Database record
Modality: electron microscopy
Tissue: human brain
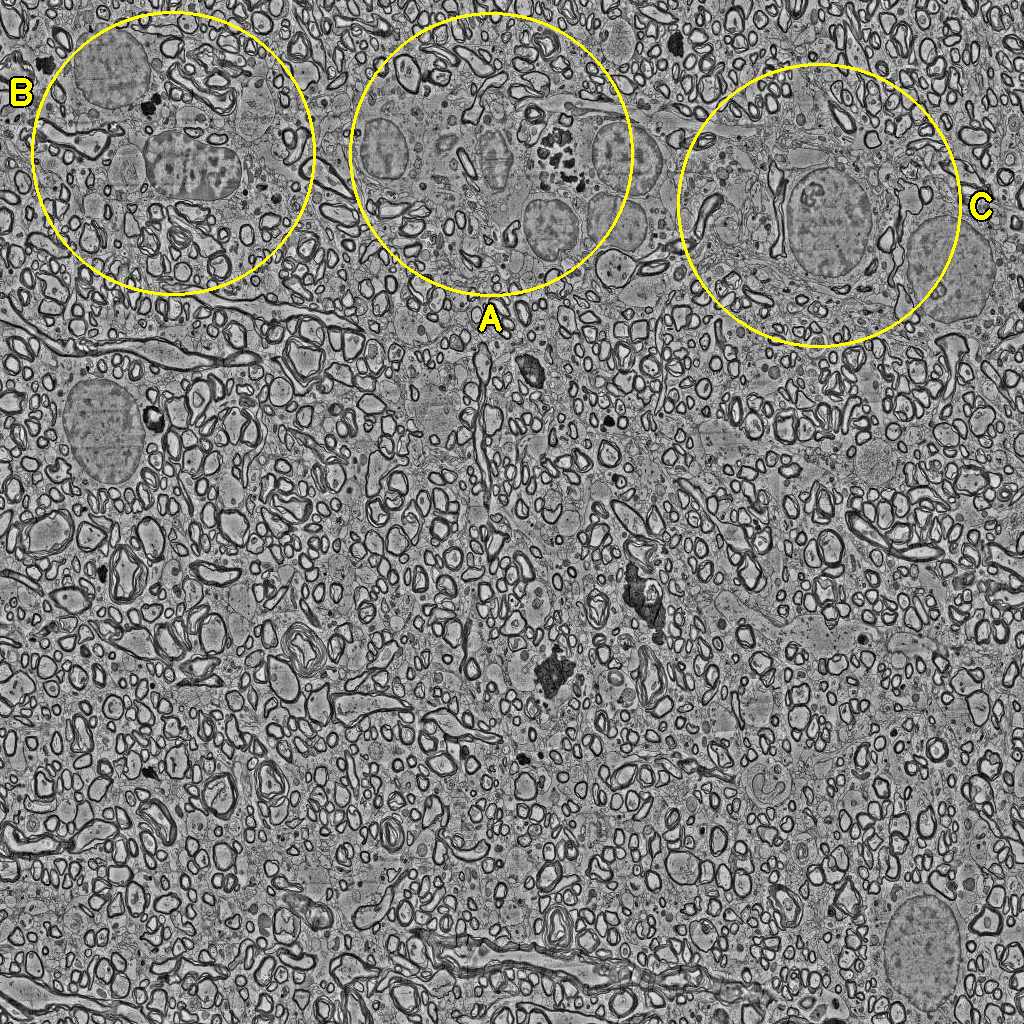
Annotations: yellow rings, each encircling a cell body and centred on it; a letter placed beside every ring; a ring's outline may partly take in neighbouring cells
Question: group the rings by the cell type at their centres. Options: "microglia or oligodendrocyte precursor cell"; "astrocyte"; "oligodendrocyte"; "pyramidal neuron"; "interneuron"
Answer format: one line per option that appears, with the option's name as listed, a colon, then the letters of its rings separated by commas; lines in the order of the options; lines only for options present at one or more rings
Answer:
microglia or oligodendrocyte precursor cell: B
oligodendrocyte: A, C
